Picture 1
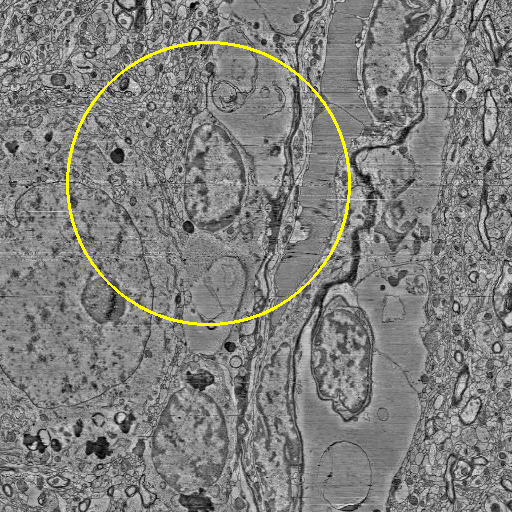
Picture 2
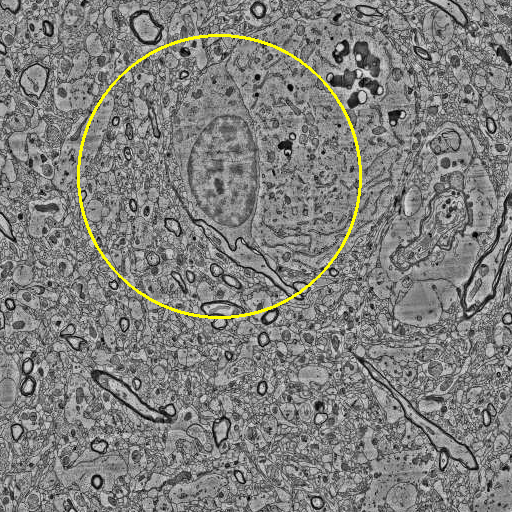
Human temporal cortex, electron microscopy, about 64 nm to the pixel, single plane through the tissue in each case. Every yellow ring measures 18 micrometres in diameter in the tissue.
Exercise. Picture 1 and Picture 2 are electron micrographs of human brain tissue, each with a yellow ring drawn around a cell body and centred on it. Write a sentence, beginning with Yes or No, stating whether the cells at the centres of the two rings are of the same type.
No, the cells at the centres of the rings are of two types.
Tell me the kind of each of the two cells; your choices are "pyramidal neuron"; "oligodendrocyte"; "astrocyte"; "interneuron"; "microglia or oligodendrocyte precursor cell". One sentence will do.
The ringed cell is a microglial cell or oligodendrocyte precursor cell in the first picture and an oligodendrocyte in the second picture.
